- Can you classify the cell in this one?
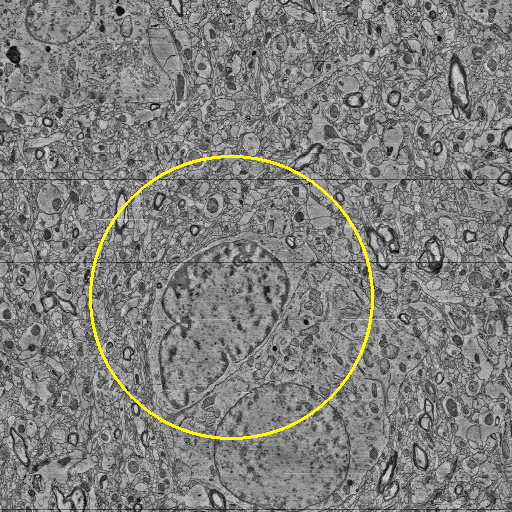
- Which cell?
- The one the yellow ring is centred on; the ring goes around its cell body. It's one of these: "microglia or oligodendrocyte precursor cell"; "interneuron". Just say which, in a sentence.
The cell body in the ring belongs to a microglial cell or oligodendrocyte precursor cell.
